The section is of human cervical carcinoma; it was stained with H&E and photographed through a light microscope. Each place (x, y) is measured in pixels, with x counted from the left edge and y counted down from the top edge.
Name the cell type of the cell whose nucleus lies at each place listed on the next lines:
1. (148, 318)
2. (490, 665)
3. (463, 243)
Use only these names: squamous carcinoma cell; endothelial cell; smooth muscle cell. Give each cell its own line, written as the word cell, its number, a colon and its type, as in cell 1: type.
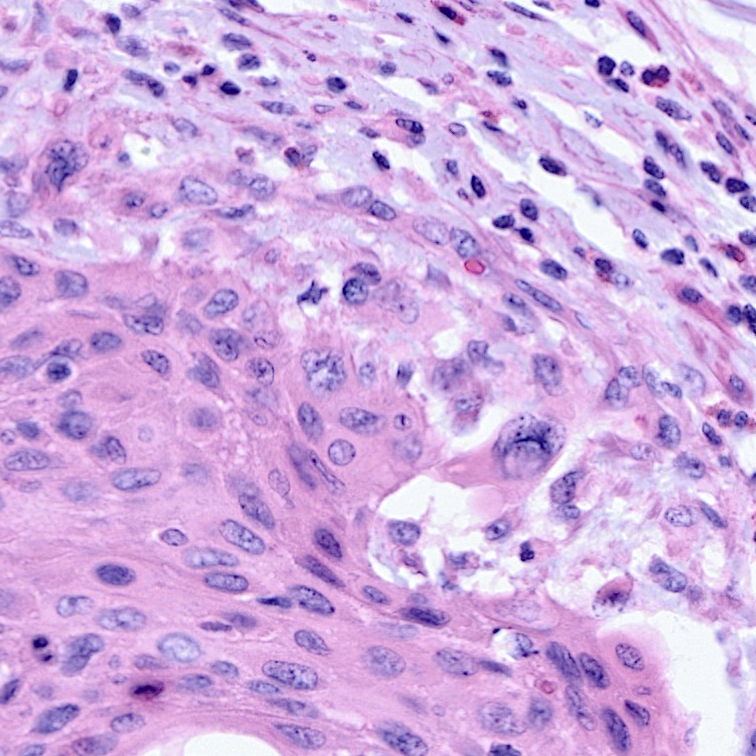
cell 1: squamous carcinoma cell
cell 2: squamous carcinoma cell
cell 3: endothelial cell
